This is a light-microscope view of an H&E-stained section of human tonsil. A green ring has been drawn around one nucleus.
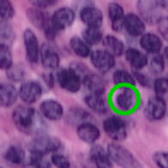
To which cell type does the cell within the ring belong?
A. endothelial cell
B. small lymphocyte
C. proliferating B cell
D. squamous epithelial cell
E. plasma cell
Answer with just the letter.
B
